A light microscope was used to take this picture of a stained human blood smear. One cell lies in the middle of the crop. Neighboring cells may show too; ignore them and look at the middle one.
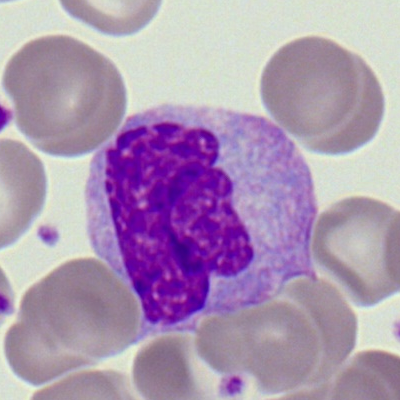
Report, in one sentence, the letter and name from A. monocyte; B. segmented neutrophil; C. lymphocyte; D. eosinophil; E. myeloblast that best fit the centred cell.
Option A correctly names the cell in the middle as a monocyte.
